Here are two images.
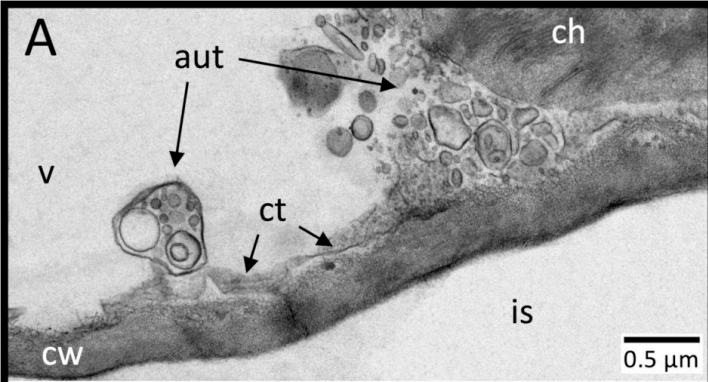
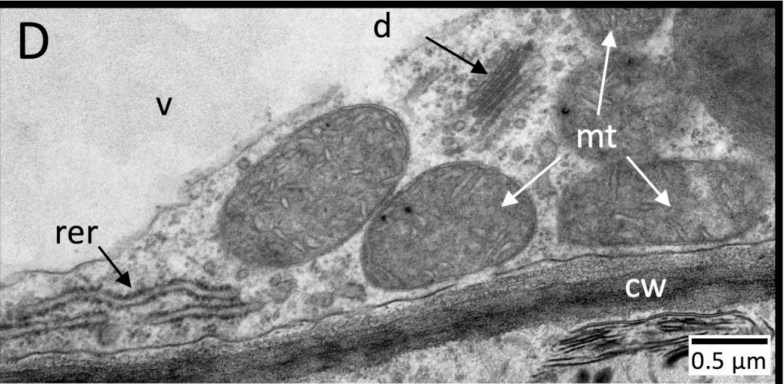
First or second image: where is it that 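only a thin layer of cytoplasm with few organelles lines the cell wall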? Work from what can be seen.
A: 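Second image: a broad band of cytoplasm holds several large mitochondria, a stacked cisternal body and rough endoplasmic reticulum. First image: the cytoplasm along the cell wall is a thin strip with hardly any organelles.
Hence: the first image.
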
